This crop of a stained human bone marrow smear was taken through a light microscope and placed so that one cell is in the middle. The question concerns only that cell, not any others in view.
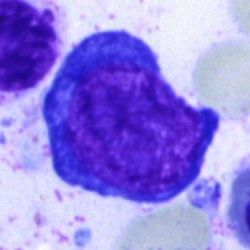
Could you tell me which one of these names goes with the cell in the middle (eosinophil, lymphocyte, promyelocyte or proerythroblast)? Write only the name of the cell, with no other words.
proerythroblast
